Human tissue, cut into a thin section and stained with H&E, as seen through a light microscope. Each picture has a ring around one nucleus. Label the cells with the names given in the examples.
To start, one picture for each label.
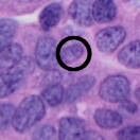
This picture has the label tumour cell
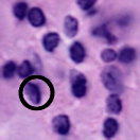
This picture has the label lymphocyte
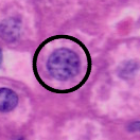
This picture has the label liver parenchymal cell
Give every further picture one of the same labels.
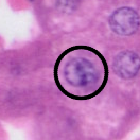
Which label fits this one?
liver parenchymal cell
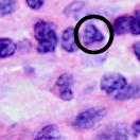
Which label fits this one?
lymphocyte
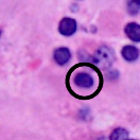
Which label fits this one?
lymphocyte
